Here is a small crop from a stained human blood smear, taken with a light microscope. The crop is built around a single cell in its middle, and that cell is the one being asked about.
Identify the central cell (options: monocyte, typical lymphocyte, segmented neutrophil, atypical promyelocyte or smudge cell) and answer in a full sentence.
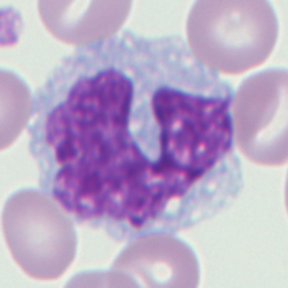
Answering briefly, the cell in the middle is a monocyte.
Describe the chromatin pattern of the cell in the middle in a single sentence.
Chromatin in the nucleus here is coarsely clumped.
